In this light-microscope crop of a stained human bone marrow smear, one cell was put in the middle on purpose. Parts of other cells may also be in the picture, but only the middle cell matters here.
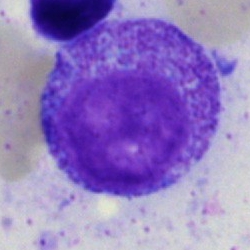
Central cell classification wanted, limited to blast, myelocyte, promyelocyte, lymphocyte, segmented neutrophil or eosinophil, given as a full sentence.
This particular crop is centered on a myelocyte.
